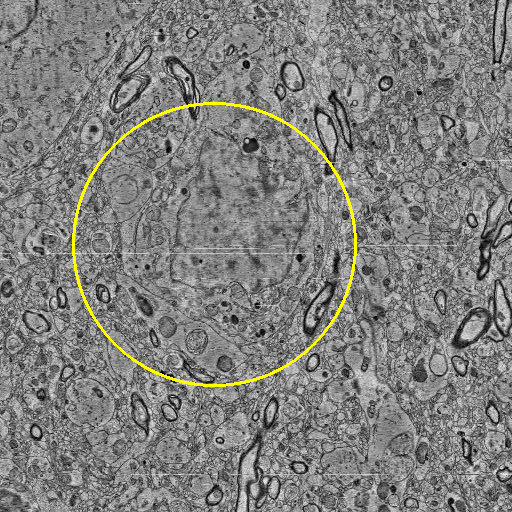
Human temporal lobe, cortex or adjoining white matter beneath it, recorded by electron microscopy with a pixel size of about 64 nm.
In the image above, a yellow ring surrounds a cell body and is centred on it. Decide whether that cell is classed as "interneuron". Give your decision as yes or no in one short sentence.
Yes, it is classed as that kind.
